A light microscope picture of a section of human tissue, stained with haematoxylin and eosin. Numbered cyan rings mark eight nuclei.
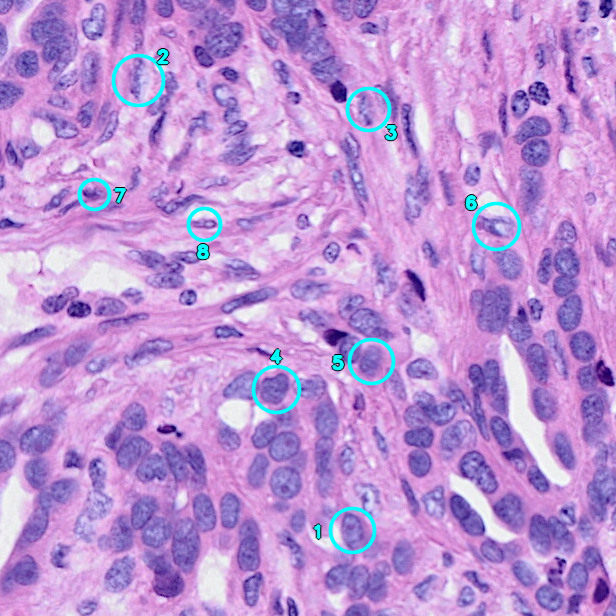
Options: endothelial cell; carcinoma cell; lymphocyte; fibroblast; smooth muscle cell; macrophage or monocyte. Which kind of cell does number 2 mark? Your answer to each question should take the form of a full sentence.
The cell that goes by number 2 is a fibroblast.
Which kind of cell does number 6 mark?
Here the cell numbered 6 is a fibroblast.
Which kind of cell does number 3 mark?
The label 3 in this section denotes a fibroblast.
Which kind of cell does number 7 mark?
The marked nucleus 7 is that of a fibroblast.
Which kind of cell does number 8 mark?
The mark numbered 8 indicates the nucleus of a fibroblast.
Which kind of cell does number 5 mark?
The cell that goes by number 5 is a carcinoma cell.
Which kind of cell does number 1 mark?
The cell indicated by marker 1 is a carcinoma cell in this section.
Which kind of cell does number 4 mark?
Identified by the number 4, the cell is a carcinoma cell.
